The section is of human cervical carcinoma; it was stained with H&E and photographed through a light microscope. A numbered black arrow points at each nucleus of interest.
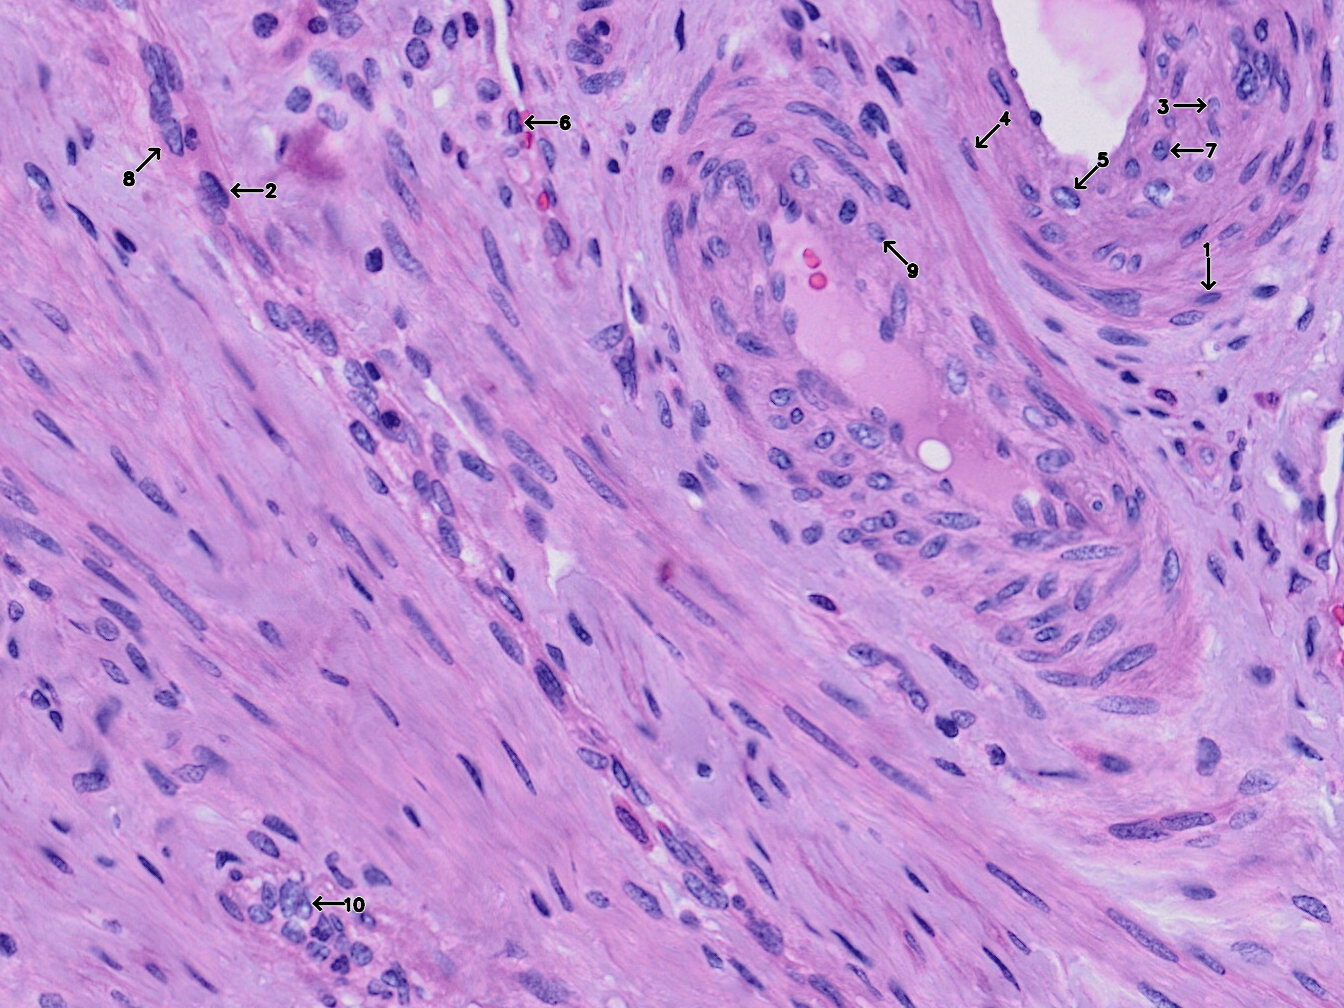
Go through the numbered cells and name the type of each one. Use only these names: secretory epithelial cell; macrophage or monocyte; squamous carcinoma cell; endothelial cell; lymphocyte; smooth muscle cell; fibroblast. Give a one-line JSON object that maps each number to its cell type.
{"1": "smooth muscle cell", "2": "endothelial cell", "3": "smooth muscle cell", "4": "smooth muscle cell", "5": "smooth muscle cell", "6": "endothelial cell", "7": "smooth muscle cell", "8": "endothelial cell", "9": "smooth muscle cell", "10": "endothelial cell"}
